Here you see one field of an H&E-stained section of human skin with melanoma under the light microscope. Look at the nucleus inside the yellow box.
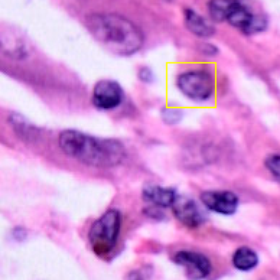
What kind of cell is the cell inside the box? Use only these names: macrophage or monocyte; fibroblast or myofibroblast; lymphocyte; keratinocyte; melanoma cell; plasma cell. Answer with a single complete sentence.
Placed in its cell category, the cell inside the box is a macrophage or monocyte.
